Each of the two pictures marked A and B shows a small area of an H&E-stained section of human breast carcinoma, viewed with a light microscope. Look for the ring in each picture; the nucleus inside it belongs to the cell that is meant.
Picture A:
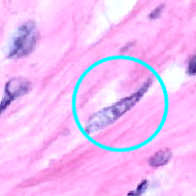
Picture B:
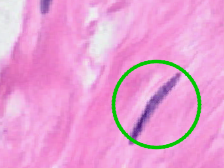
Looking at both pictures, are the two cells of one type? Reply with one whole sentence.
Yes; the cells in both pictures are fibroblasts.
